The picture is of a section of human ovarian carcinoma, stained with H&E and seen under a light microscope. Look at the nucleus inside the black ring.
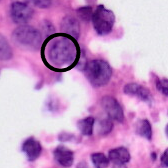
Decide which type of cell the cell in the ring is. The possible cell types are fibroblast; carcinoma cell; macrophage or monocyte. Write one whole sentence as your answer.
In the context of this tissue, the cell in the ring is a carcinoma cell.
